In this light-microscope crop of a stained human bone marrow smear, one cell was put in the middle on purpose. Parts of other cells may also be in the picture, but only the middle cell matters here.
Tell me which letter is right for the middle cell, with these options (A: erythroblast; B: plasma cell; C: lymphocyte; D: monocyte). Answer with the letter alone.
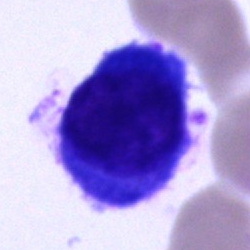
B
